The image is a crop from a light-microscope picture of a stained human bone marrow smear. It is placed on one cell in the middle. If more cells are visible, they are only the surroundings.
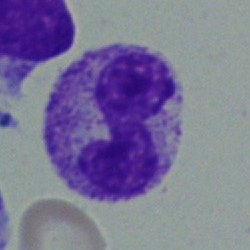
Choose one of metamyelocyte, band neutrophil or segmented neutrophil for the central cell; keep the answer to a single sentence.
The central cell shown in this smear crop is a band neutrophil.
